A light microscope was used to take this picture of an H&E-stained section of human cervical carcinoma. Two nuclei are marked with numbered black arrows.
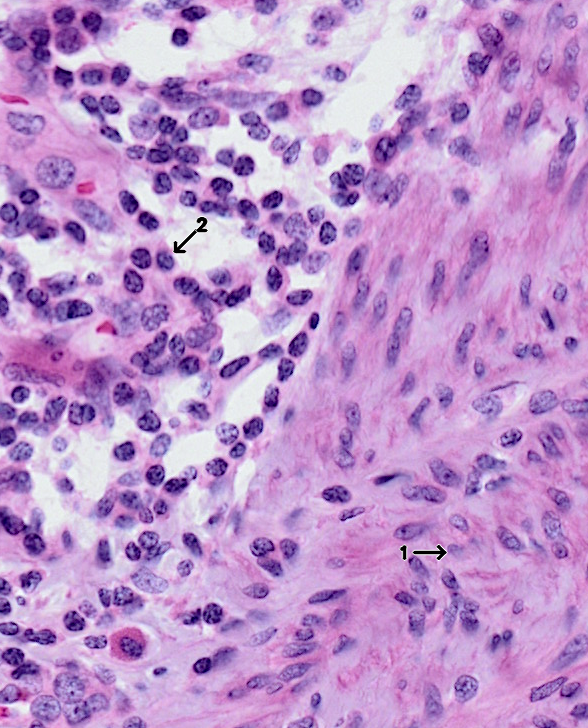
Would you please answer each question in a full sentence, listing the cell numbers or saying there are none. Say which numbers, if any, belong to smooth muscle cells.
Cell 1 stands alone among the numbered cells as a smooth muscle cell.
